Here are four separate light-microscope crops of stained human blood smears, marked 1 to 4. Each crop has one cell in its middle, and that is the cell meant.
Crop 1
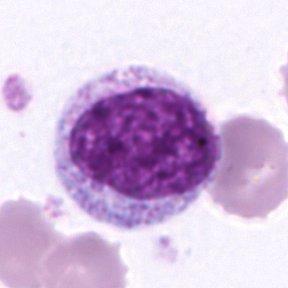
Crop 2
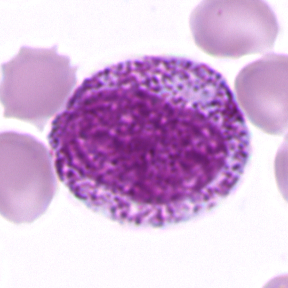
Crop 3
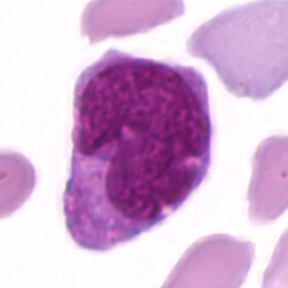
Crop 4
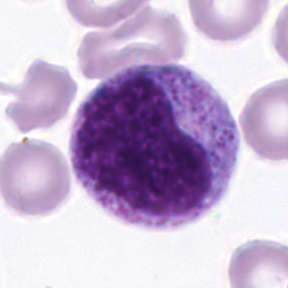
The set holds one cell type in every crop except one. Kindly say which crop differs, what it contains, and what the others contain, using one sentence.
All the crops contain myelocytes save crop 3, where there is an atypical promyelocyte.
